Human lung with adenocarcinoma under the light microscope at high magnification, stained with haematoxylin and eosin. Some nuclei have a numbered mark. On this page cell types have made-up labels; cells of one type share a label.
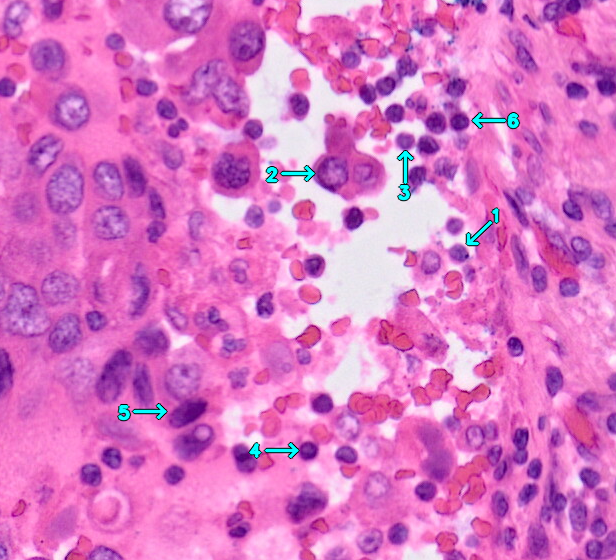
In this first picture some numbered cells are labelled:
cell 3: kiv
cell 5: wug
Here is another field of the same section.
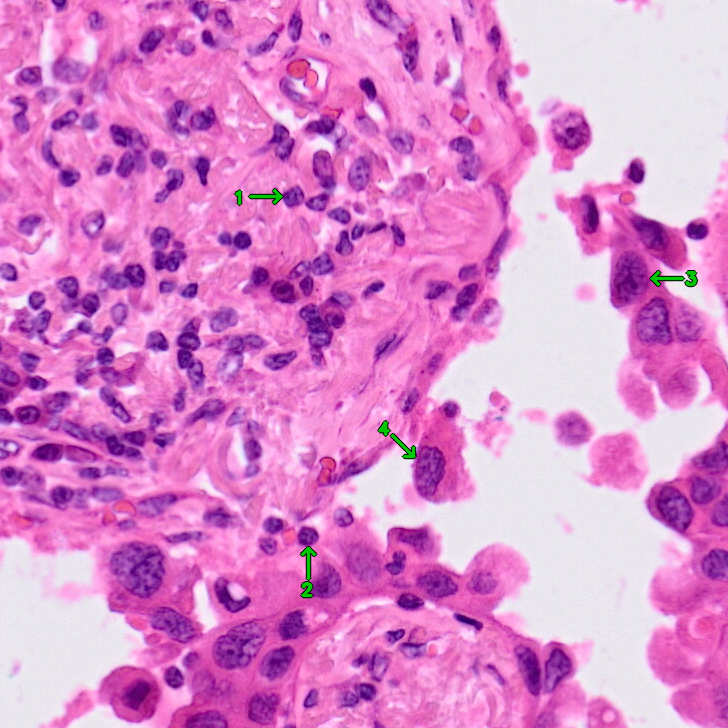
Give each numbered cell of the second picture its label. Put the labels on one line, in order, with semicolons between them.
kiv; kiv; wug; wug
